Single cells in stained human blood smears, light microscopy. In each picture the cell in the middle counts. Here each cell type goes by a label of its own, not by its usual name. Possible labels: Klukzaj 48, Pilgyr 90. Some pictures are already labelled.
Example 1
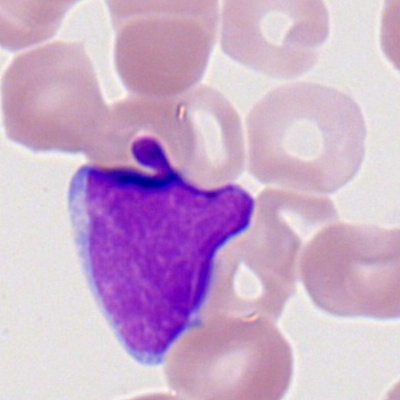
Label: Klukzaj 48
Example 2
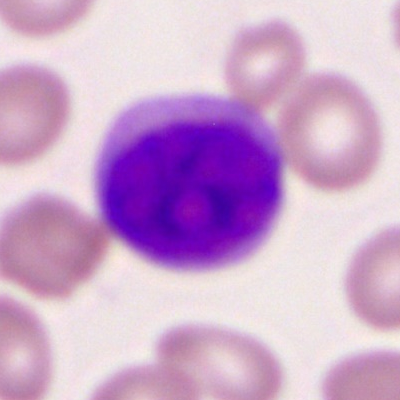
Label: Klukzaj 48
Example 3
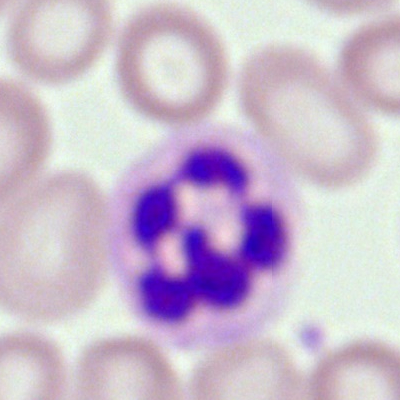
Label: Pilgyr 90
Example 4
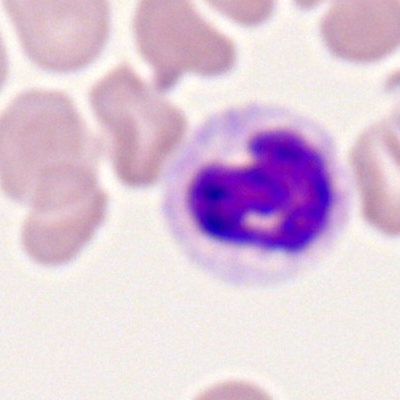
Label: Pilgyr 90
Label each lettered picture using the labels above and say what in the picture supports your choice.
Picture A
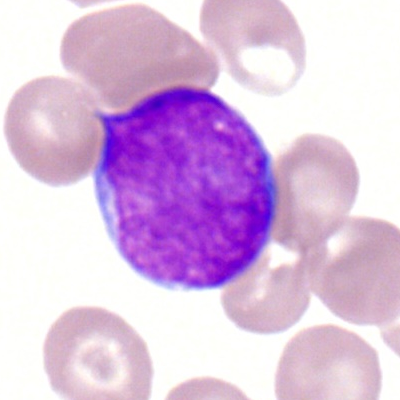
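Klukzaj 48: The thin rim of cytoplasm is blue.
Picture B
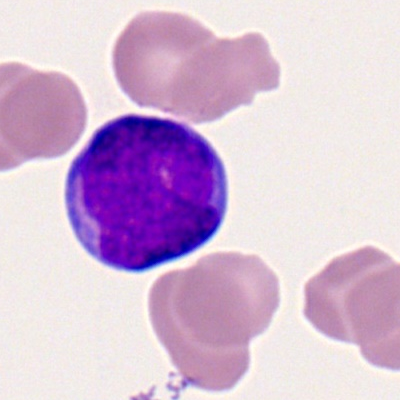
Klukzaj 48: The nucleus fills almost the whole cell.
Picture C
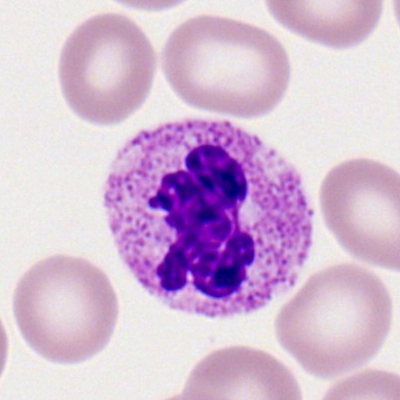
Pilgyr 90: The cytoplasm is plentiful and pale pink-lilac.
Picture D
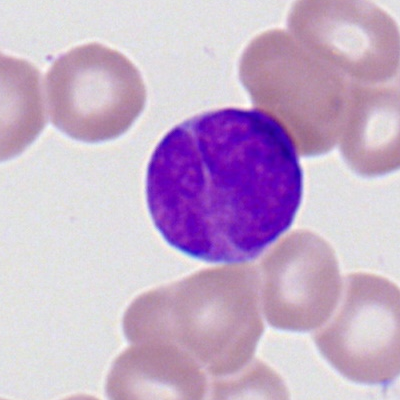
Klukzaj 48: Cytoplasm is scant, at most a thin rim around the nucleus.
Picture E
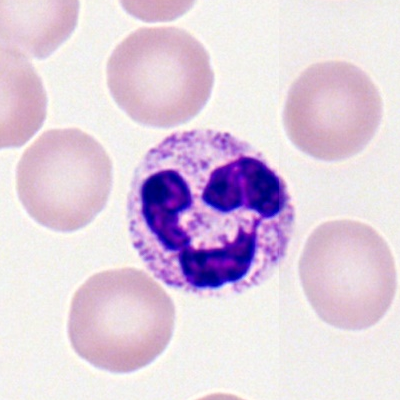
Pilgyr 90: The nucleus is divided into three separate lobes.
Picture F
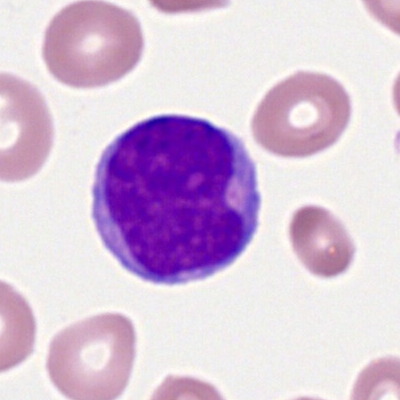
Klukzaj 48: The nucleus fills most of the cell.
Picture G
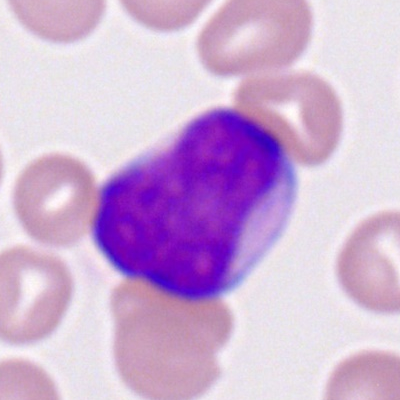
Klukzaj 48: The cytoplasm is a scant pale blue rim, widest on the right side of the cell.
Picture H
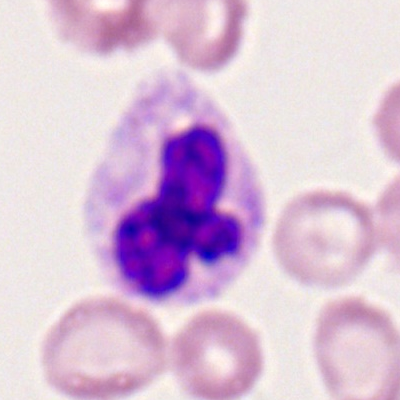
Pilgyr 90: An abundant rim of pale lilac cytoplasm surrounds the nucleus.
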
